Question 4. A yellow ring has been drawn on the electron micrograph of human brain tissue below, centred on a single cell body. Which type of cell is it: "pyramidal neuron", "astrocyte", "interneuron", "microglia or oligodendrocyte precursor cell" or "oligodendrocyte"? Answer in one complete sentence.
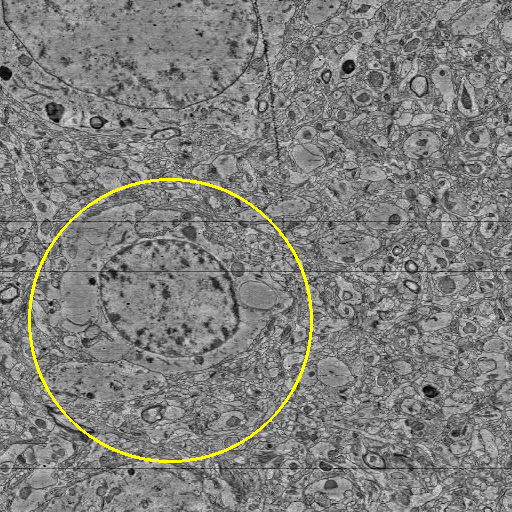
This cell body belongs to an astrocyte.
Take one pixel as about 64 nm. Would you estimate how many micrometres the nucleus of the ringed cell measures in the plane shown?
The ringed cell's nucleus measures approximately 9 by 7 micrometres in this plane.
